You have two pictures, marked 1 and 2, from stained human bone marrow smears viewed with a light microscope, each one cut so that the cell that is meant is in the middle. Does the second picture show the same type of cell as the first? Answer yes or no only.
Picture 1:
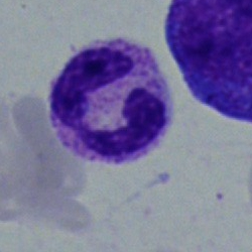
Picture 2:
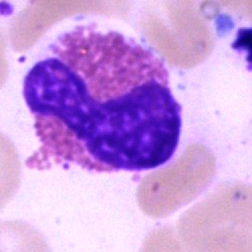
no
